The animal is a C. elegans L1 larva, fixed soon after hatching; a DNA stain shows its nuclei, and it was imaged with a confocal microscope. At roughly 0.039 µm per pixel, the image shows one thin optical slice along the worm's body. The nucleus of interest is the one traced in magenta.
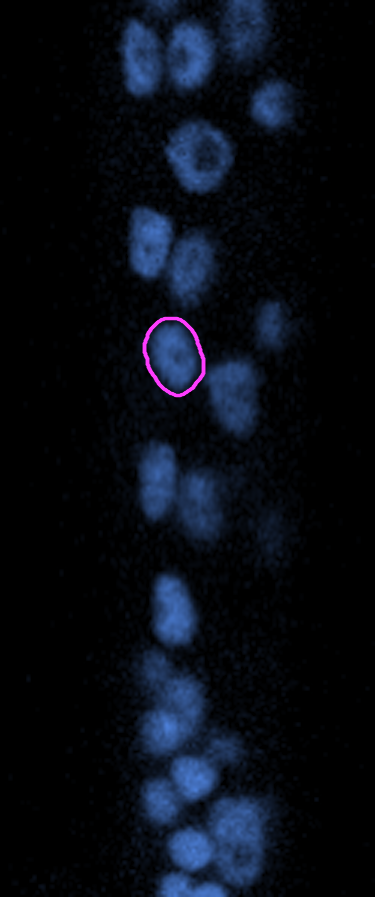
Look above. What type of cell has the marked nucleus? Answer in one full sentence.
What is marked is the nucleus of a P cell (ventral epidermal blast cell).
